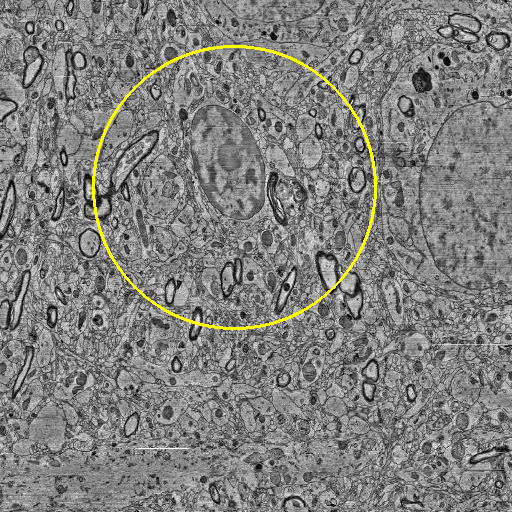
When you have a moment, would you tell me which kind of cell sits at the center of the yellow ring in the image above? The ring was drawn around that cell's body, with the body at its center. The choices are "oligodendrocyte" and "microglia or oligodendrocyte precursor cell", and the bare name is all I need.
microglia or oligodendrocyte precursor cell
